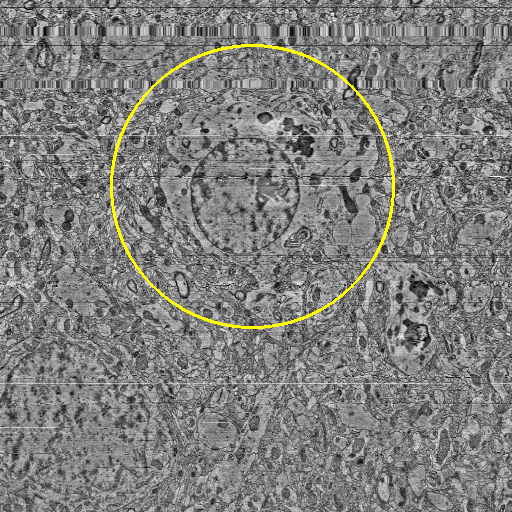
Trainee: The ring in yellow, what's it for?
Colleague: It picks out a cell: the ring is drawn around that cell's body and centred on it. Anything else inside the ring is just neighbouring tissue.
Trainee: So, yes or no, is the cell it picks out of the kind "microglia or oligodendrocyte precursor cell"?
no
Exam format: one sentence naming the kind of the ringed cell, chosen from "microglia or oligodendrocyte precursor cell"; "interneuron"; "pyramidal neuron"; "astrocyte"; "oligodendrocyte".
As it turns out, the cell at the ring centre is an astrocyte.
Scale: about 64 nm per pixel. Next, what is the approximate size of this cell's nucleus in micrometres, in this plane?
The nucleus is about 7 micrometres across in this plane.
